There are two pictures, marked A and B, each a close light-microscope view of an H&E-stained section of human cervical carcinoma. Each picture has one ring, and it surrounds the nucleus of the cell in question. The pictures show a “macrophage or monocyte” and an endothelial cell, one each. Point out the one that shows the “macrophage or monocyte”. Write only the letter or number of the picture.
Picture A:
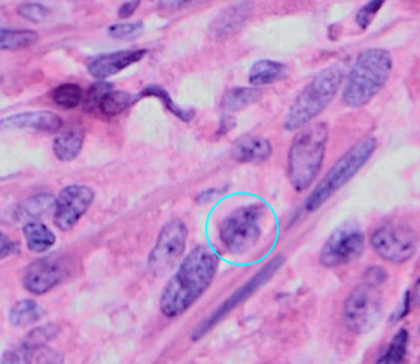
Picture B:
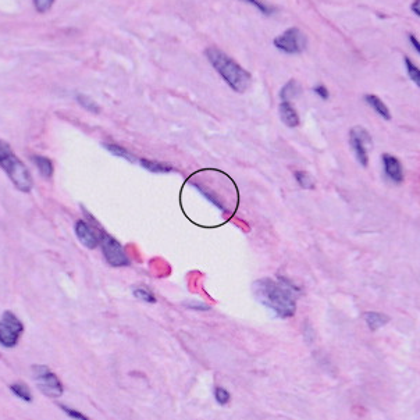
A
